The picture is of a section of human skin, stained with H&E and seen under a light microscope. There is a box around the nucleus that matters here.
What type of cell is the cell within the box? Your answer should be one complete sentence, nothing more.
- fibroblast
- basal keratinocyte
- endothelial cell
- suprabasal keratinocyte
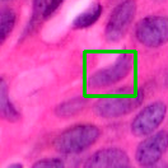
Speaking plainly, the cell within the box is nothing other than a basal keratinocyte.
